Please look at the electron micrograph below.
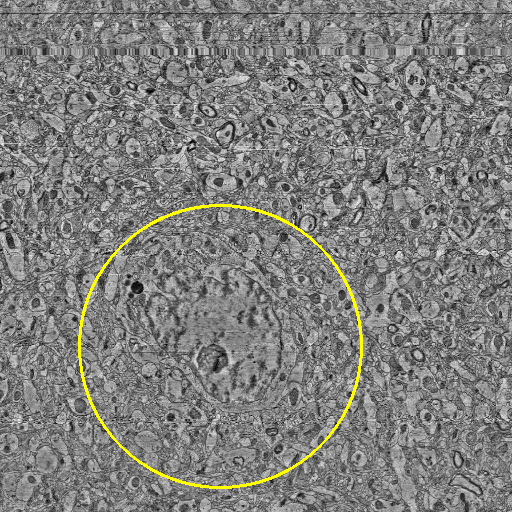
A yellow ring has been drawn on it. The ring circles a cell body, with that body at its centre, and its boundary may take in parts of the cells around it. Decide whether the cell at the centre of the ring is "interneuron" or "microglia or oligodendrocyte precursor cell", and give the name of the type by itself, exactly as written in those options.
interneuron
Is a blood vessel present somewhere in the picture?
No, a blood vessel is absent from this picture.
